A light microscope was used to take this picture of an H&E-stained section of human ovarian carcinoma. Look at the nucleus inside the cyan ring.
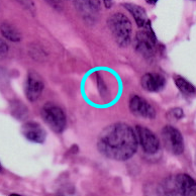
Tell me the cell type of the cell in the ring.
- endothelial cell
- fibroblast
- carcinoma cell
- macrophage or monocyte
endothelial cell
